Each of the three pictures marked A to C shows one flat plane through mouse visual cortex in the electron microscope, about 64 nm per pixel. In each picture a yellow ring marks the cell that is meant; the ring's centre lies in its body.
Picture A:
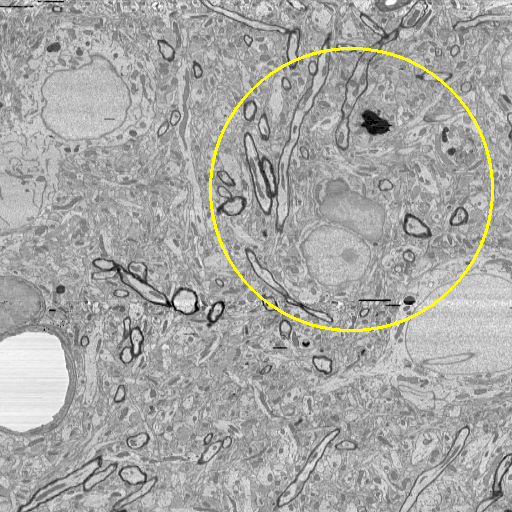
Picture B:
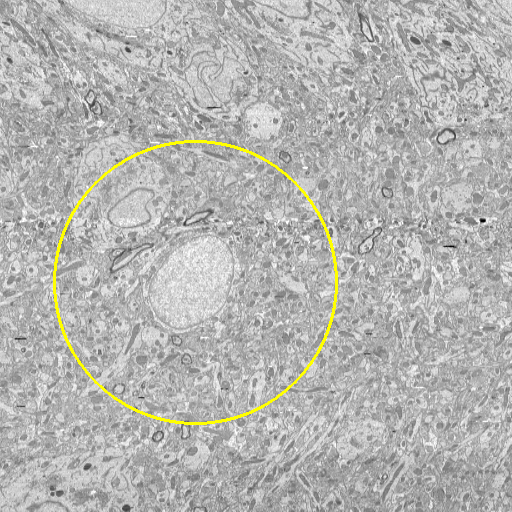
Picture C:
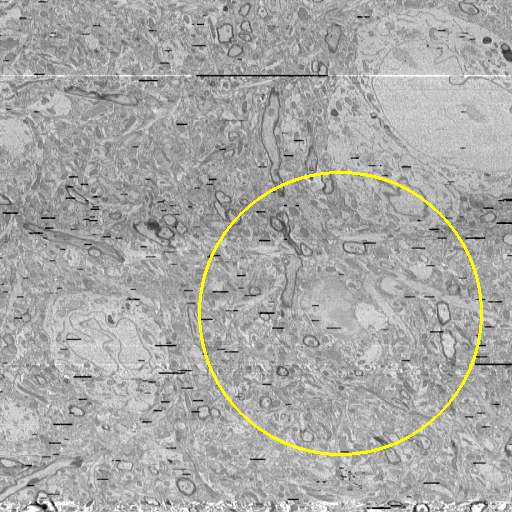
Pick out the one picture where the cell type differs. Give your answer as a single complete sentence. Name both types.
Unlike the rest, which show microglial cells, picture B shows an astrocyte.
